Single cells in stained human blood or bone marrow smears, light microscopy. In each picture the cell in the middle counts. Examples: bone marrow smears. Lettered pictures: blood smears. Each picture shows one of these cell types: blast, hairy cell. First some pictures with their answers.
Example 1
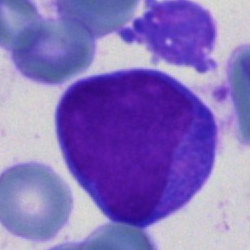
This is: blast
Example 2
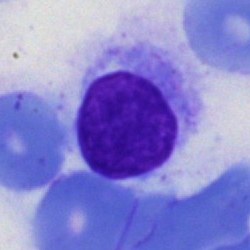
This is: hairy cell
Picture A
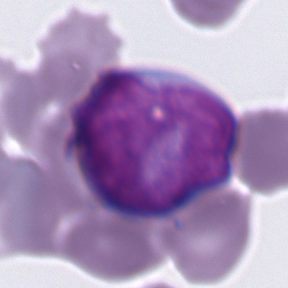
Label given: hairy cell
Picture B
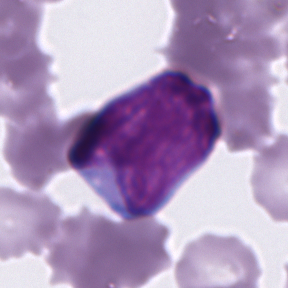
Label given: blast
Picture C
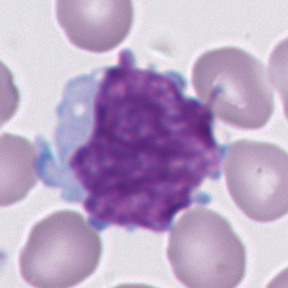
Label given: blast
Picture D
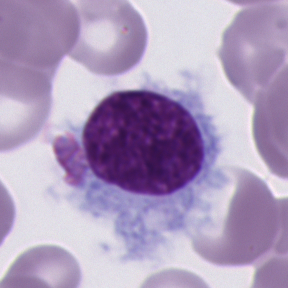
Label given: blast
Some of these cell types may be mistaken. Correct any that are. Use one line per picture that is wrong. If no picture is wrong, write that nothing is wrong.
A is labelled hairy cell; correct label: blast
D is labelled blast; correct label: hairy cell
